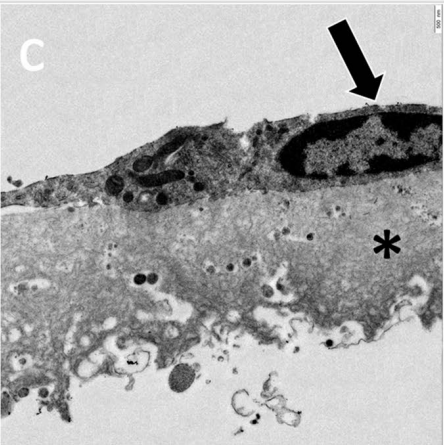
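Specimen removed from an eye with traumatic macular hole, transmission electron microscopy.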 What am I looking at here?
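Single hyalocyte lying on the vitreal side of the internal limiting membrane. The cell is flattened and spread along the membrane surface, with an elongated oval nucleus showing dense chromatin clumped at the nuclear envelope. The cytoplasm holds several electron-dense rounded granules and small vesicles. Beneath it, the internal limiting membrane forms a thick, pale, finely fibrillar acellular band, smooth on the side facing the cell. Its opposite side is irregular and frayed, with loose membranous fragments, small dense bodies and vacuoles trailing off into the empty space below.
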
